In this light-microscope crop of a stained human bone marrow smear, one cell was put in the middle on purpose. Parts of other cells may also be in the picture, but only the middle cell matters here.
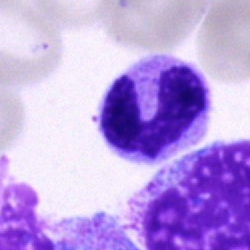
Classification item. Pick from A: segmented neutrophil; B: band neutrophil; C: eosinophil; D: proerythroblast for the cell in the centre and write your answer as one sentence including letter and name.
The middle of the crop holds a band neutrophil, which points to option B.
